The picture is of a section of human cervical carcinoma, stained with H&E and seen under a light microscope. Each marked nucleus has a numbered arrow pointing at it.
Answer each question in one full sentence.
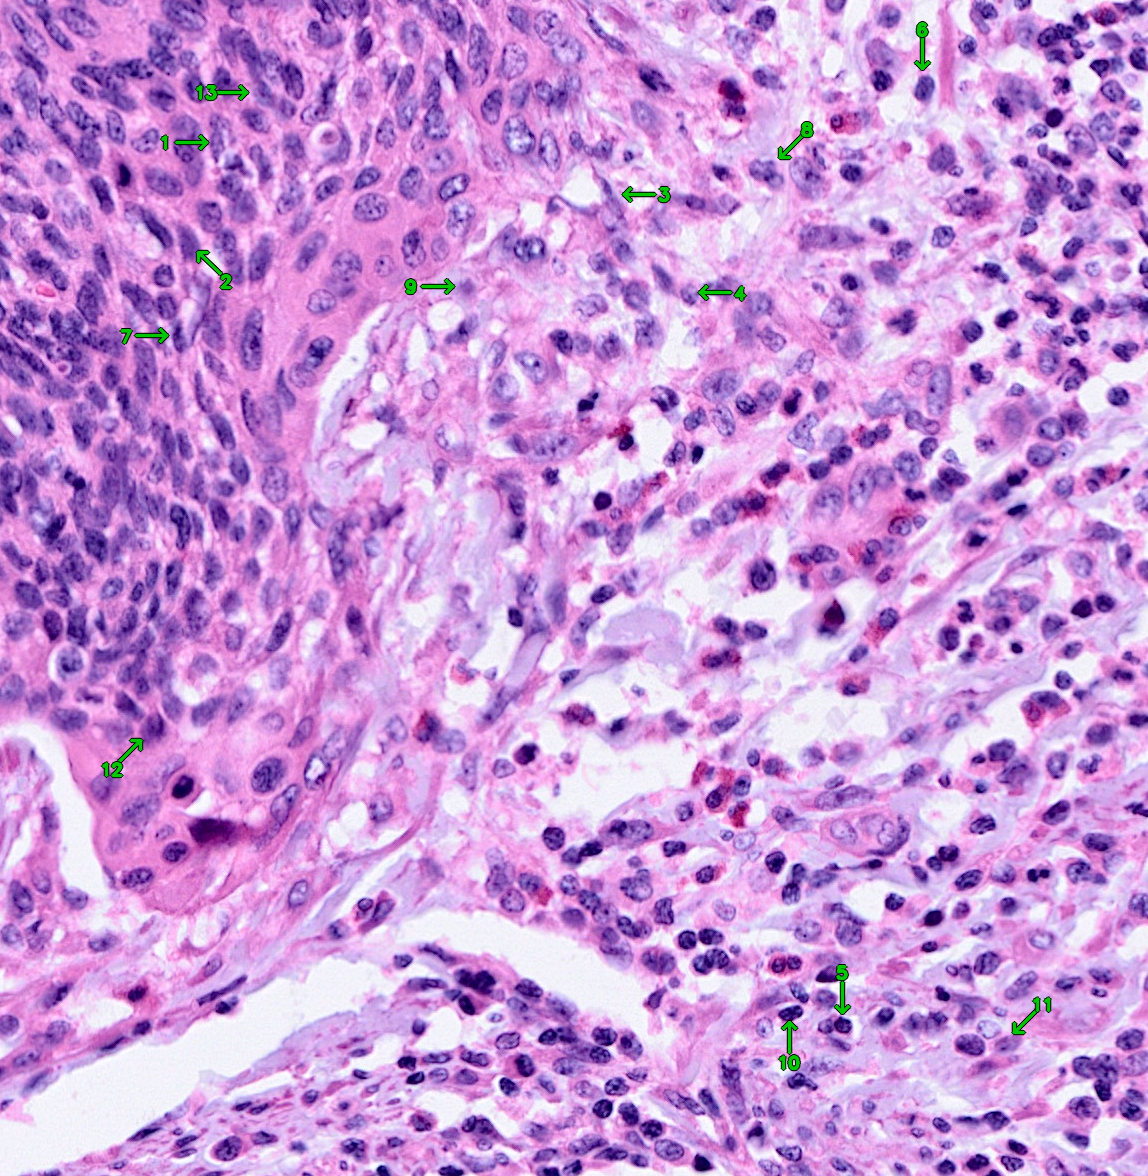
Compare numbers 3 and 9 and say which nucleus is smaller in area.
Number 9 is smaller, since number 3 takes up about 1.5 times as much area.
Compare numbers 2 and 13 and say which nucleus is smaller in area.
With nucleus 2 about 1.5 times its size, nucleus 13 is the smaller of the two.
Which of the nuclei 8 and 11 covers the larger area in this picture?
The larger nucleus is 8, at roughly 2 times the area of 11.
